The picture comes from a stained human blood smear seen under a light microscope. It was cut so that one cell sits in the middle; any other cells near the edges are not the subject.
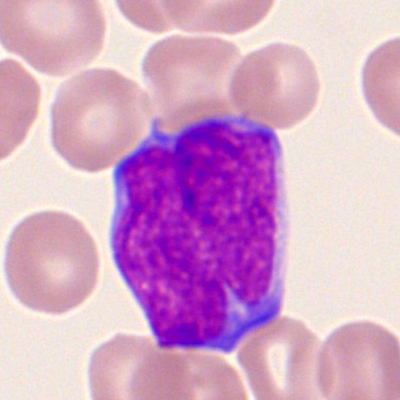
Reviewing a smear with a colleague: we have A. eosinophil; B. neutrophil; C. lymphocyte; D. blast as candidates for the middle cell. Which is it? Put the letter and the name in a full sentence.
Option D is correct in that the central cell is a blast.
